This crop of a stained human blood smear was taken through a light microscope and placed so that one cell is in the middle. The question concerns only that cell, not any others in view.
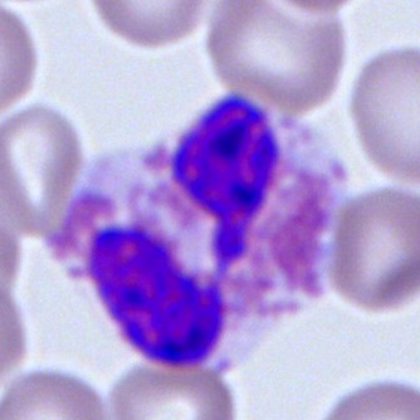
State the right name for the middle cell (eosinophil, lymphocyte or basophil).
eosinophil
